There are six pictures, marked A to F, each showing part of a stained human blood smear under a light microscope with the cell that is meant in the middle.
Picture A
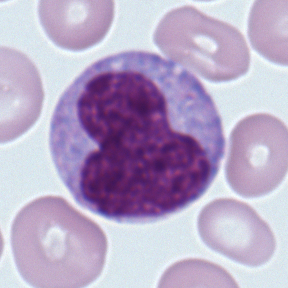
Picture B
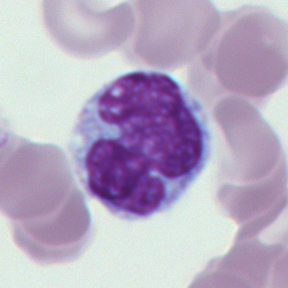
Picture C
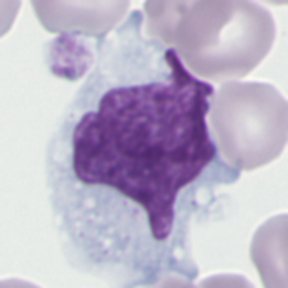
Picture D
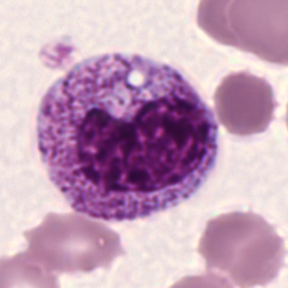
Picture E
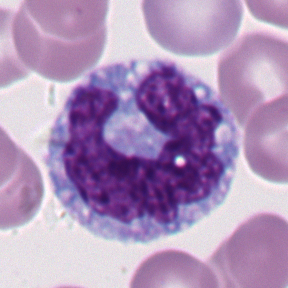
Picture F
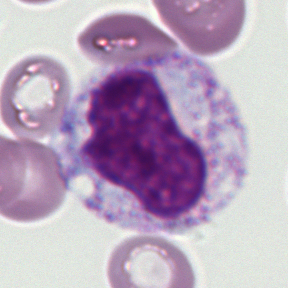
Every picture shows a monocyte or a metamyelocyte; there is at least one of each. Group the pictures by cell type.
A: monocyte
B: monocyte
C: monocyte
D: metamyelocyte
E: monocyte
F: metamyelocyte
